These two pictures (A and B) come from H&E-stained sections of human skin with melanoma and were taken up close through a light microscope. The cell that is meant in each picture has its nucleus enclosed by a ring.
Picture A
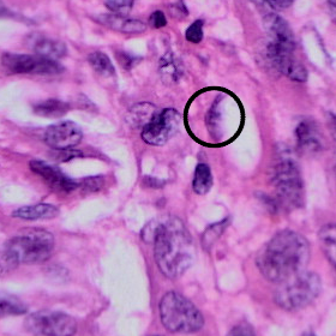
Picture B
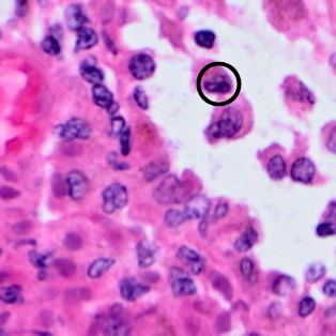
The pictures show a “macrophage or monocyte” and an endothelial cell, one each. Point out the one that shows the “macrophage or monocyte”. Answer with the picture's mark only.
B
